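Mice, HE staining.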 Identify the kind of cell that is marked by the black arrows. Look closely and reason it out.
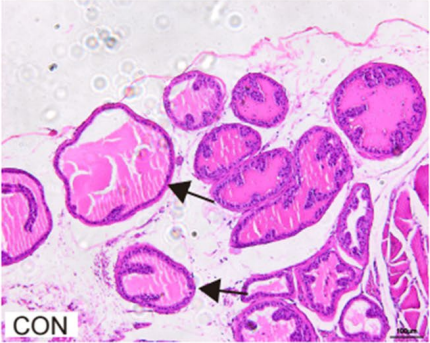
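Prostate epithelial cells. The arrows point at the thin cell layer lining rounded glandular spaces. The glandular spaces are filled with pink homogeneous secretion. The lining cells have dark purple nuclei in a single row.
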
